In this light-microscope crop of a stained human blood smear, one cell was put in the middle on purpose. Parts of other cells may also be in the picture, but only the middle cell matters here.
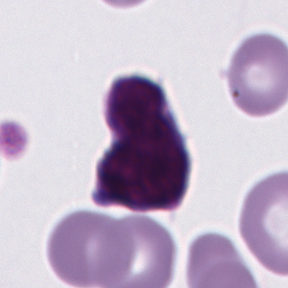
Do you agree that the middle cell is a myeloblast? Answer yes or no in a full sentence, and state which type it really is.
Yes, the cell of interest in the middle is a myeloblast.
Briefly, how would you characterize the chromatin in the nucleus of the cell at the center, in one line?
This nucleus has coarsely clumped chromatin.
